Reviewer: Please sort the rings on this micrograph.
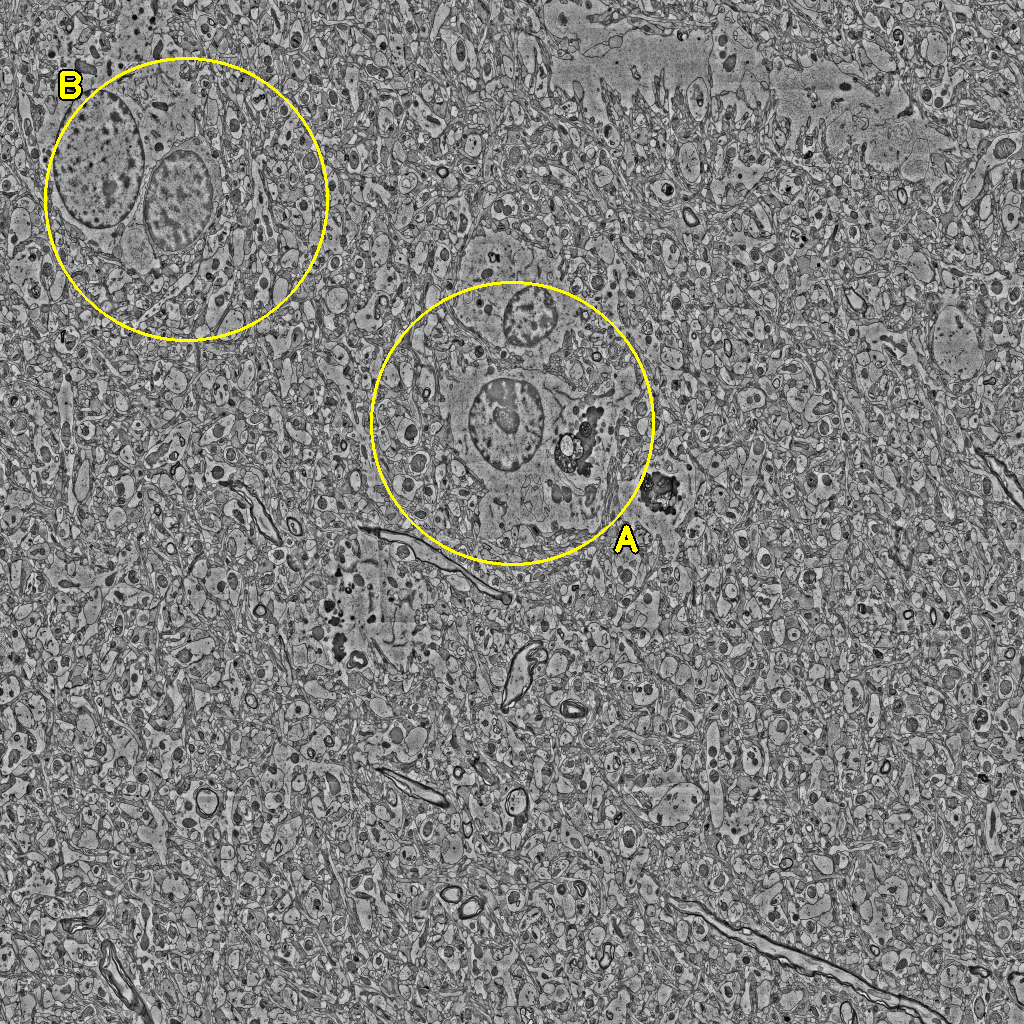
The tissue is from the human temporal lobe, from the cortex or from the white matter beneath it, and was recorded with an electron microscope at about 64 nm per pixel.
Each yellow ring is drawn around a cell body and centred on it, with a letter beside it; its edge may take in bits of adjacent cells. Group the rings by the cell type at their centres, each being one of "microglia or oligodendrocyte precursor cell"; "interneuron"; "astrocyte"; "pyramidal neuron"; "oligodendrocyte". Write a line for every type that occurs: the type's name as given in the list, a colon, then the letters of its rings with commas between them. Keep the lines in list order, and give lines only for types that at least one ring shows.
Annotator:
astrocyte: A
oligodendrocyte: B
